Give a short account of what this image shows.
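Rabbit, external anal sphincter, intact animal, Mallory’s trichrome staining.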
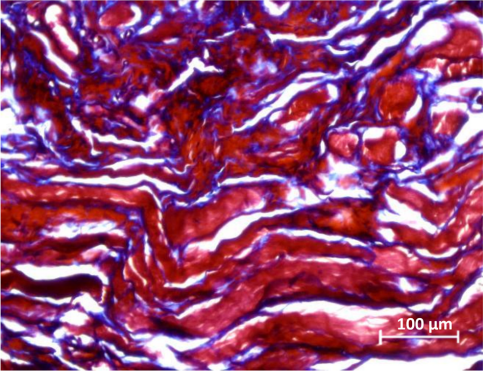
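The fibres run in wavy, roughly parallel bands across the field. Between the bundles lie only thin strands of blue-stained connective tissue. Blue-stained fibrous tissue forms only a small part of the area.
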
